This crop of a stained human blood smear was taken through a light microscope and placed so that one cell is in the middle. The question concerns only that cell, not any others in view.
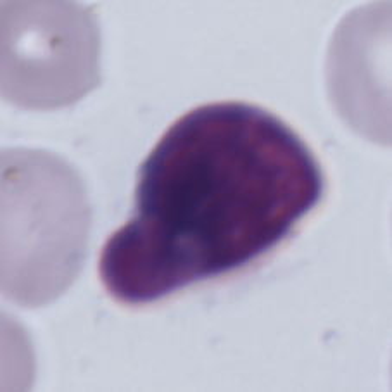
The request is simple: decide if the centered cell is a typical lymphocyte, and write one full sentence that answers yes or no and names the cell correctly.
No, the cell in the middle is correctly named a smudge cell, not a typical lymphocyte.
